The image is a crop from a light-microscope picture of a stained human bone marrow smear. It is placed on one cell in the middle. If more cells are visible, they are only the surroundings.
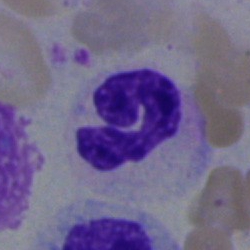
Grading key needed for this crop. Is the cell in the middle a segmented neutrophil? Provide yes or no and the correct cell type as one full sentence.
Yes, the centrally placed cell is a segmented neutrophil.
